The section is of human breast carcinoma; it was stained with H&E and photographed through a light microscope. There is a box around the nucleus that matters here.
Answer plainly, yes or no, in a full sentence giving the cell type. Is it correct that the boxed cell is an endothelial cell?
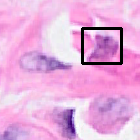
Yes, it holds that the boxed cell is an endothelial cell.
